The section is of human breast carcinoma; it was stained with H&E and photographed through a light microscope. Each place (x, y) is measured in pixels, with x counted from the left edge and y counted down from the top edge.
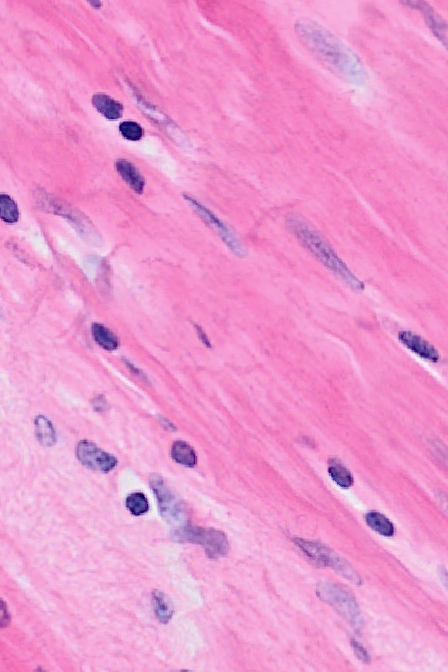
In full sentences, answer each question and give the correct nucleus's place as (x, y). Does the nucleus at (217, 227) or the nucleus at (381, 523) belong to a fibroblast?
In this pair, the nucleus at (217, 227) belongs to a fibroblast.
